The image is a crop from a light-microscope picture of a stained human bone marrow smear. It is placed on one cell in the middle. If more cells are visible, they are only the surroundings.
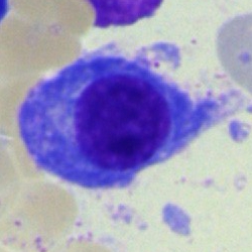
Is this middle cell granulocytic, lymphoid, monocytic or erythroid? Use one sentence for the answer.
The cell located at the center of the crop is lymphoid by lineage.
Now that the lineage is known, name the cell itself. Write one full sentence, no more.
In the middle of this smear crop, the cell is a plasma cell.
